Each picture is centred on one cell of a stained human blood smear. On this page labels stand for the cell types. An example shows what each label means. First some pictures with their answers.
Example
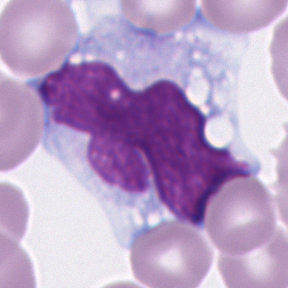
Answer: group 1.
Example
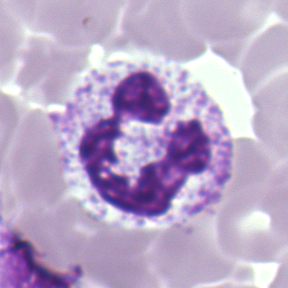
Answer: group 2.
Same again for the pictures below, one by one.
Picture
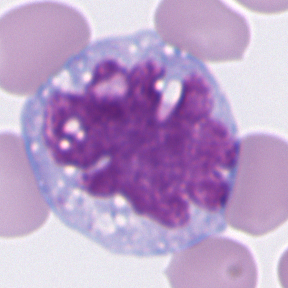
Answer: group 1.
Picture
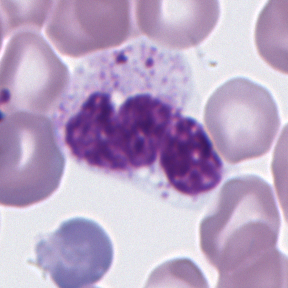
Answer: group 2.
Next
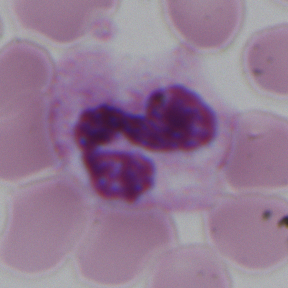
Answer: group 2.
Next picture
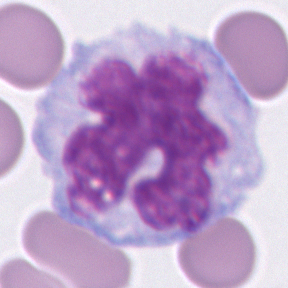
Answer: group 1.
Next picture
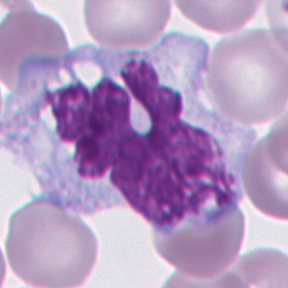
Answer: group 1.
